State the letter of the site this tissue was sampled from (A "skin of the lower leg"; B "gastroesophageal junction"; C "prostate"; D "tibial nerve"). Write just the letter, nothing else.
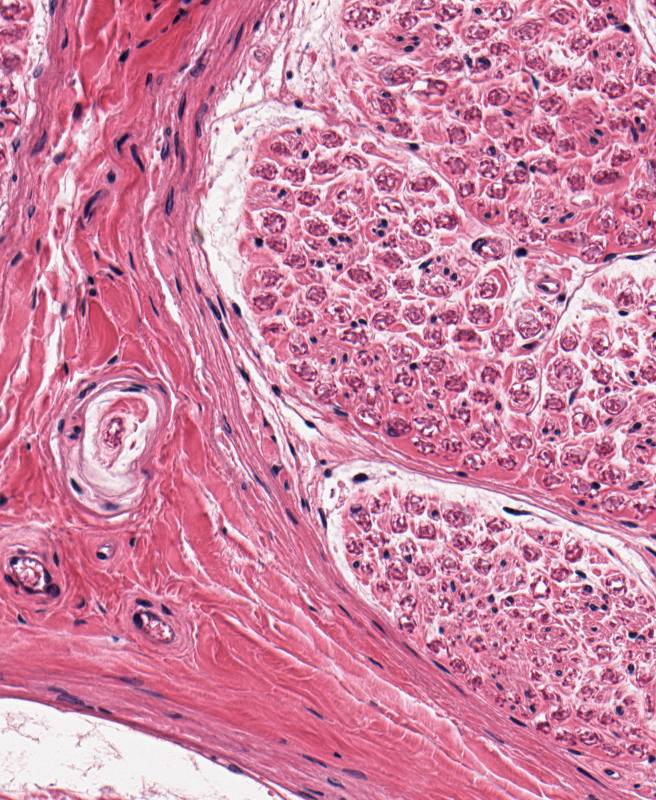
D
